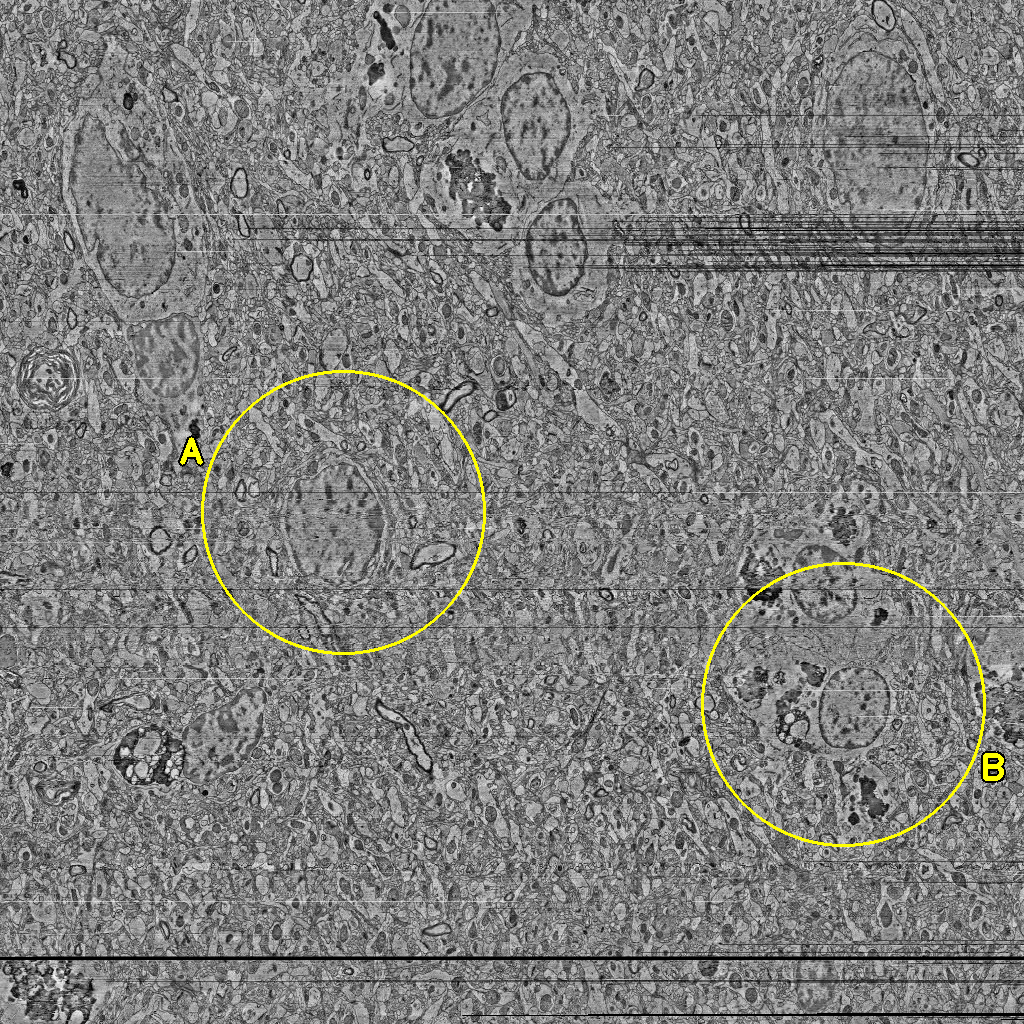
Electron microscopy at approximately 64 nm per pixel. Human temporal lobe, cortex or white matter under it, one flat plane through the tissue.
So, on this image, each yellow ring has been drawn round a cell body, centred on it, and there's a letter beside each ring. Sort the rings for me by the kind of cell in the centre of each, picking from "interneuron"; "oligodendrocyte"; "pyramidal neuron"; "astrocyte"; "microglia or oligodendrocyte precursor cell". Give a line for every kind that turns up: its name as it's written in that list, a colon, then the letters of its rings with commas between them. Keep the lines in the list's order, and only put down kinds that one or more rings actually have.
astrocyte: B
microglia or oligodendrocyte precursor cell: A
